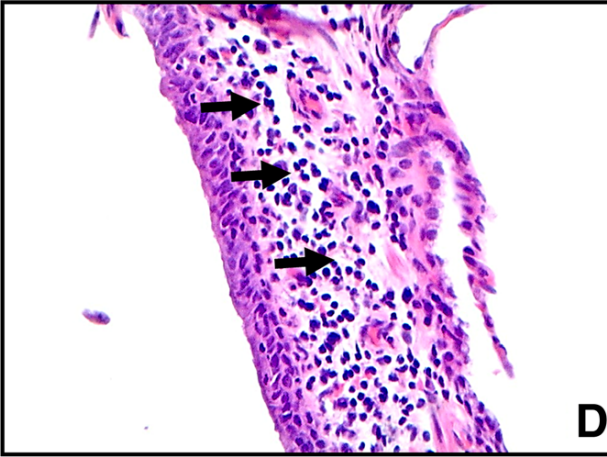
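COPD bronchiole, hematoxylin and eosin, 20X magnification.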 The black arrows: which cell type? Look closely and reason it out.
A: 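Dense clusters of small round dark-blue nuclei with scant cytoplasm in the wall beneath the epithelium. These cells are far more crowded than the surrounding stromal cells.
Hence: inflammatory cells.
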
